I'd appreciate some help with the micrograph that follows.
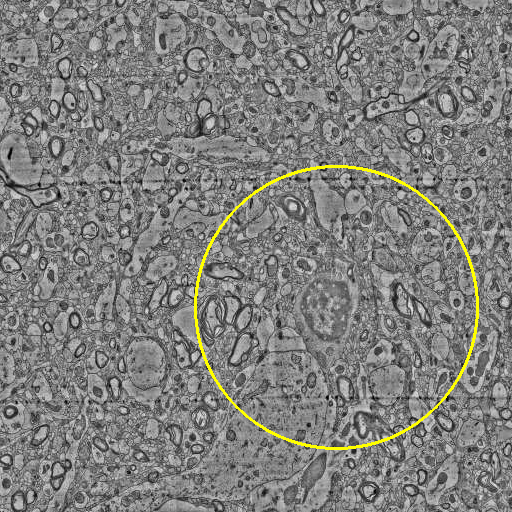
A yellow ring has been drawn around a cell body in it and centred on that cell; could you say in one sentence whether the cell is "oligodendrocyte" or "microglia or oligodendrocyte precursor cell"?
It is an oligodendrocyte at the centre of the ring.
